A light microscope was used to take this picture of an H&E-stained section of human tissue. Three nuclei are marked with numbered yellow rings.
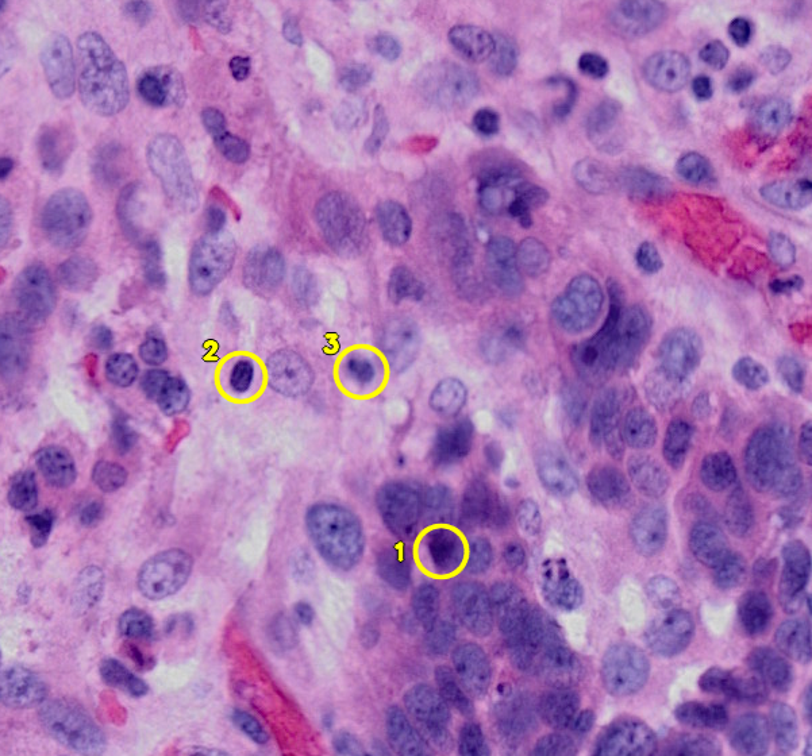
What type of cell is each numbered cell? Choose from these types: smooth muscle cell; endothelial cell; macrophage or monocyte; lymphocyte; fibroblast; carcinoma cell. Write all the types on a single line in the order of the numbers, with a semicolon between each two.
carcinoma cell; lymphocyte; lymphocyte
